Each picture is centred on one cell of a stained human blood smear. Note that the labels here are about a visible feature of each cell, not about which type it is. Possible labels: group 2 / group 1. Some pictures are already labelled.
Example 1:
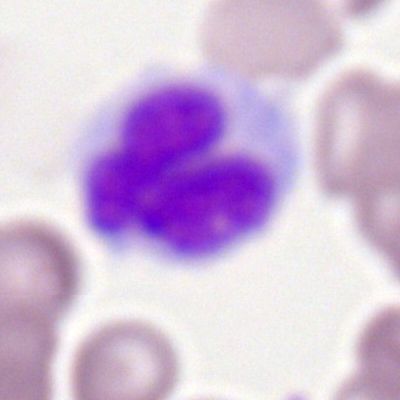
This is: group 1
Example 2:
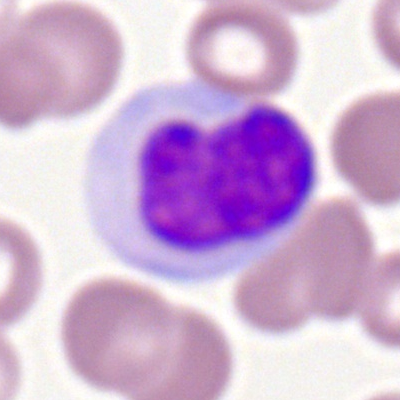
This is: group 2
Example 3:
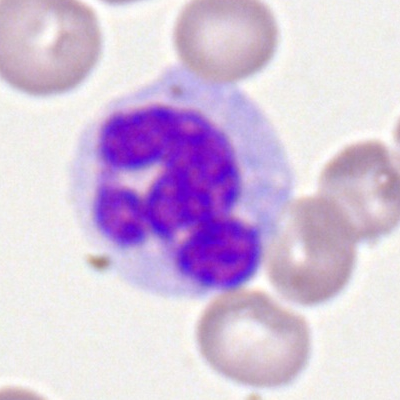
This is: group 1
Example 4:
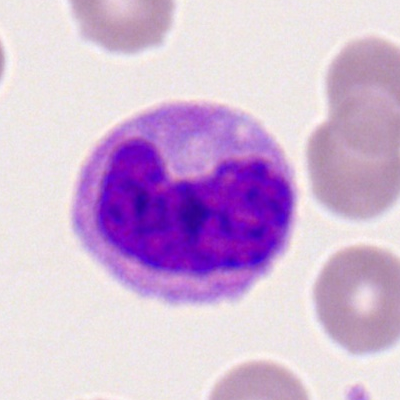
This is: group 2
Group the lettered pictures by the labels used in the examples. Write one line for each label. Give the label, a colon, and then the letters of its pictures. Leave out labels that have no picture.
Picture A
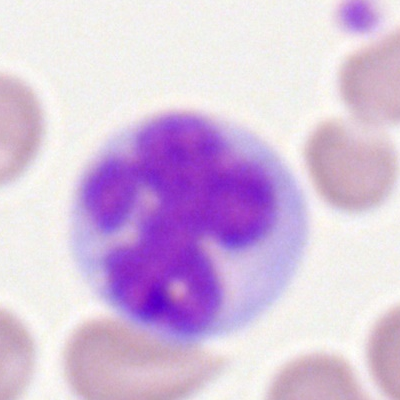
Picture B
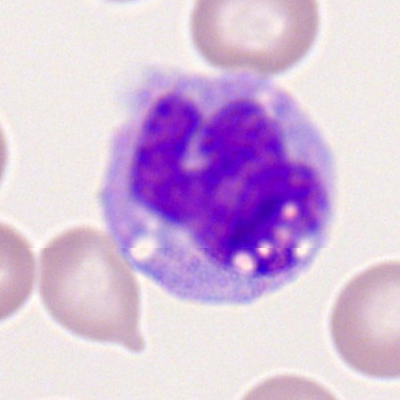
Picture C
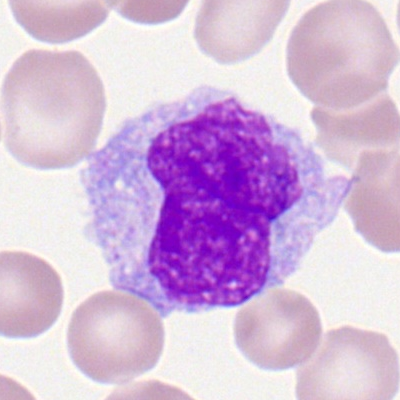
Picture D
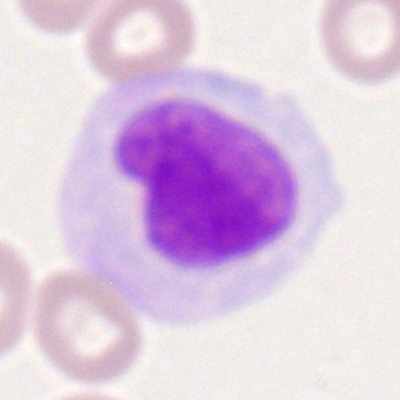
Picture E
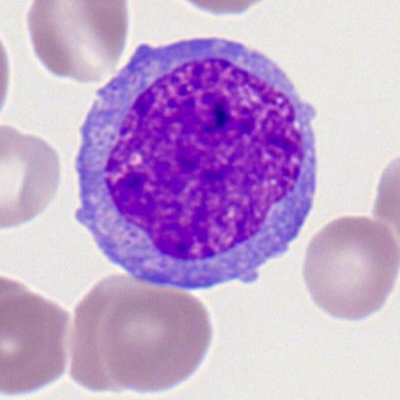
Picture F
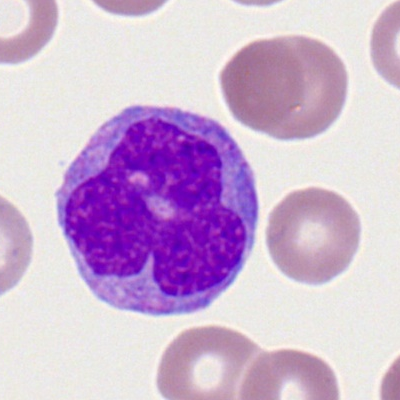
group 2: D, E
group 1: A, B, C, F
